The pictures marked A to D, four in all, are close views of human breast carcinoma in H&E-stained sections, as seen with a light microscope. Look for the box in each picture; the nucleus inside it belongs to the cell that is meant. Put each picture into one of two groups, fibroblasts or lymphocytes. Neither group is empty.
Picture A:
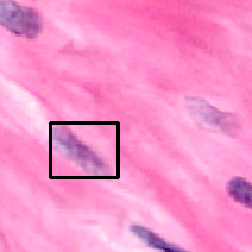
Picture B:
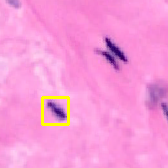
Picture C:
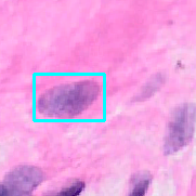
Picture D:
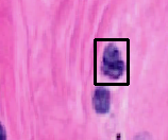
A: fibroblast
B: fibroblast
C: fibroblast
D: lymphocyte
